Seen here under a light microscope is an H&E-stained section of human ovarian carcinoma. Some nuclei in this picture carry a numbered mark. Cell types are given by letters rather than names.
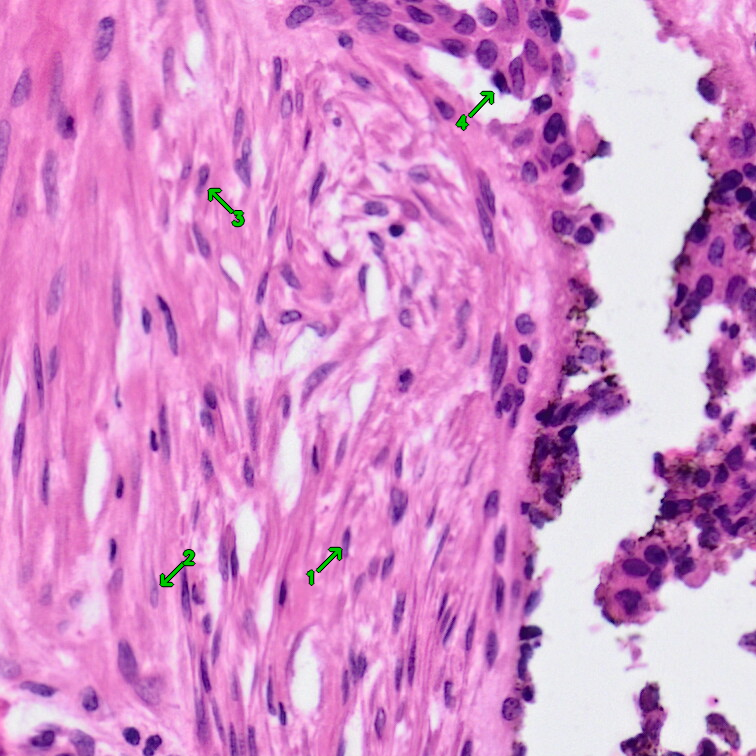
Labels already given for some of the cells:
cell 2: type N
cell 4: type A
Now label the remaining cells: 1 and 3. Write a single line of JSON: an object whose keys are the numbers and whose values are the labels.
{"1": "type N", "3": "type N"}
